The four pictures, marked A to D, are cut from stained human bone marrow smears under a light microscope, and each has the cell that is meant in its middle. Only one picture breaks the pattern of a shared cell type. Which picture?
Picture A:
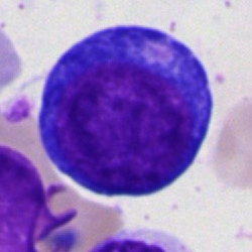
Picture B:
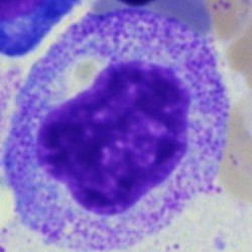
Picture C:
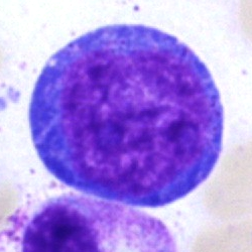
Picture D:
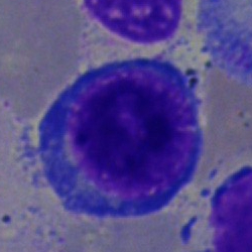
B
